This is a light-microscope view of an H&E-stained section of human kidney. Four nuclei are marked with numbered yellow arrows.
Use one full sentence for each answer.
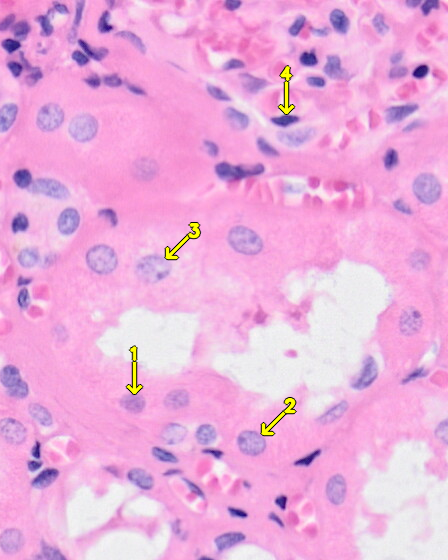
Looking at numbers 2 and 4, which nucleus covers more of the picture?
It is nucleus 2, which covers about 1.5 times the area of nucleus 4.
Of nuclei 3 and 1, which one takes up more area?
Nucleus 3 covers more area, about 2 times as much as nucleus 1.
